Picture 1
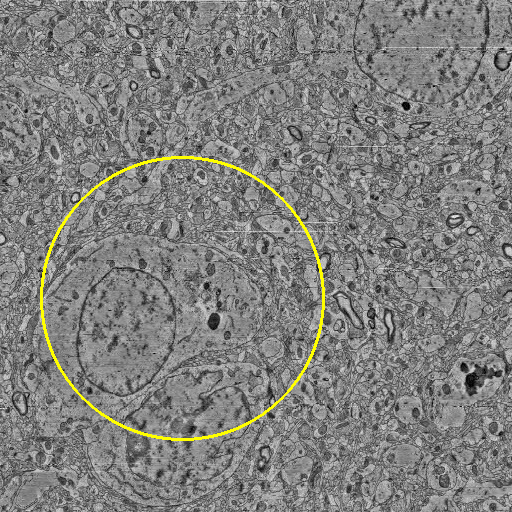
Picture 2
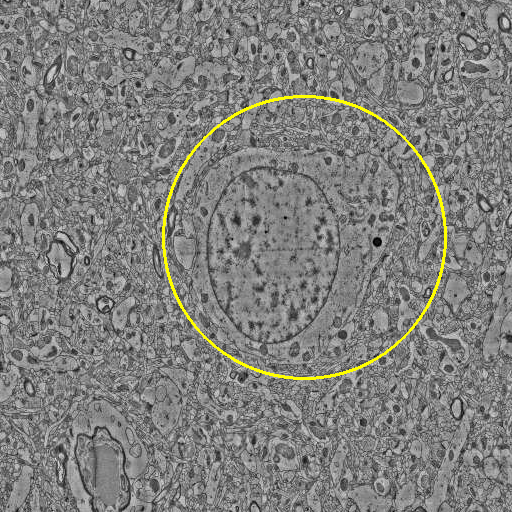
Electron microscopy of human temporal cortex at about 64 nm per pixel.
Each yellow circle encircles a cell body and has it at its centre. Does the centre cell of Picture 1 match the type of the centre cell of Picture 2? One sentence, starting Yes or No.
Yes, the cell centred in Picture 1 and the one in Picture 2 share a type.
